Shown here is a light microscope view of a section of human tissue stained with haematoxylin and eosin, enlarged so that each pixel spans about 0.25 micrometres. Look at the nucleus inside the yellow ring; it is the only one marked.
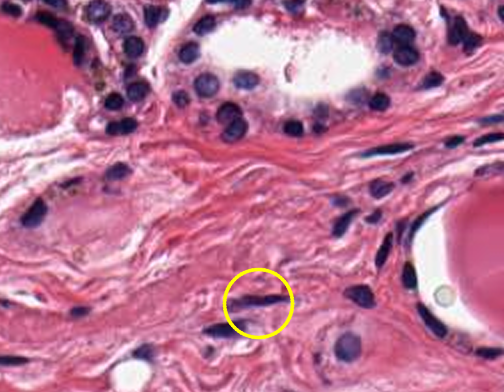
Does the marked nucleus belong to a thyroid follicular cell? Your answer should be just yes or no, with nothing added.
no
